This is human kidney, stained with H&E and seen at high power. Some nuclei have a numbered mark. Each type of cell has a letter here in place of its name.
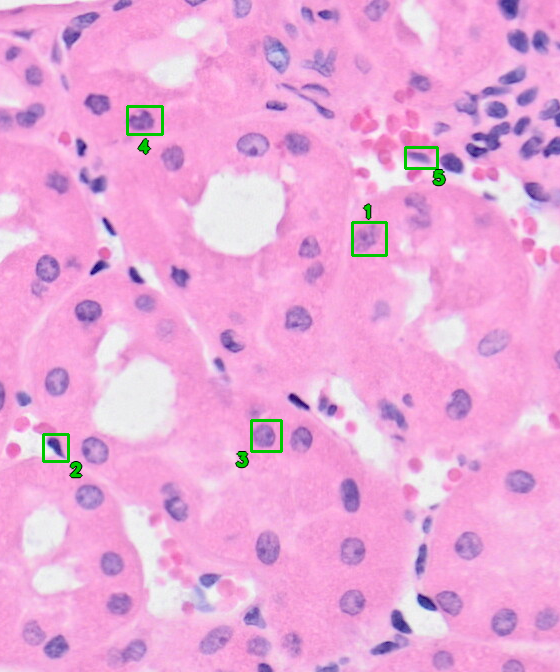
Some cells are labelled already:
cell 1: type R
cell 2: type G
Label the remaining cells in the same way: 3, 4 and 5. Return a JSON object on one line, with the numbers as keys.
{"3": "type R", "4": "type R", "5": "type G"}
